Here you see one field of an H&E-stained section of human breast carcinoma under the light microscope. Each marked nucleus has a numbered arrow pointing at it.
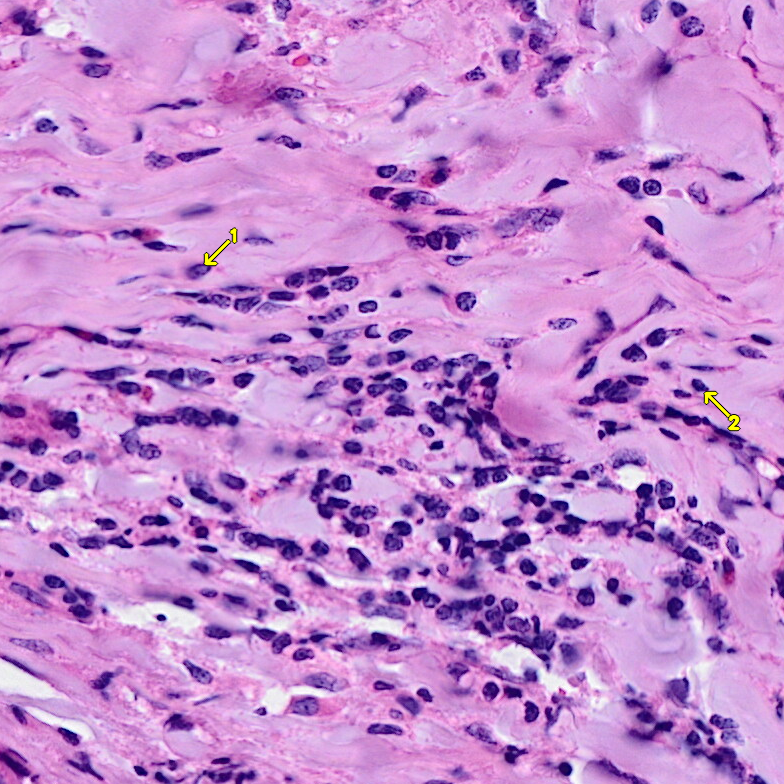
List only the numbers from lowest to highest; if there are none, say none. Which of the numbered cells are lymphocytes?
2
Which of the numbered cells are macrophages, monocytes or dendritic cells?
none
